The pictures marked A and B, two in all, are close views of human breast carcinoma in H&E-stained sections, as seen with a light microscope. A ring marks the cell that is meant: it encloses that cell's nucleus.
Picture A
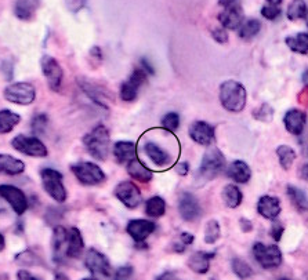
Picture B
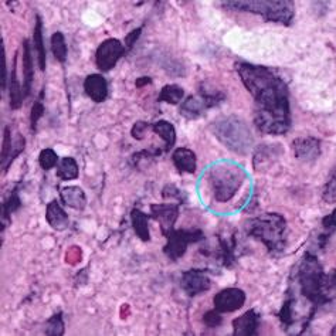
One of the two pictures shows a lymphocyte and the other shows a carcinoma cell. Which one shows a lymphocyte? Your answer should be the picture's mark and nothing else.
A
